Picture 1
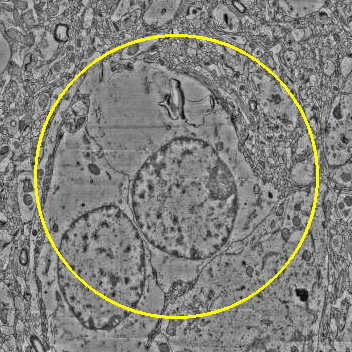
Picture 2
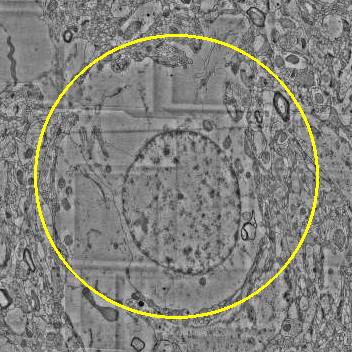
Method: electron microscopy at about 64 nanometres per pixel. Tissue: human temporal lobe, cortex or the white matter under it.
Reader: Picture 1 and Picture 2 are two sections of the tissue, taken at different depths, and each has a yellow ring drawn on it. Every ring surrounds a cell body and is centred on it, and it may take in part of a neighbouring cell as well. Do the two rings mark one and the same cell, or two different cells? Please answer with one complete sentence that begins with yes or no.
Yes, the two marked outlines come from one and the same cell.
